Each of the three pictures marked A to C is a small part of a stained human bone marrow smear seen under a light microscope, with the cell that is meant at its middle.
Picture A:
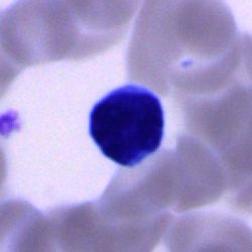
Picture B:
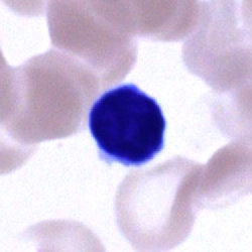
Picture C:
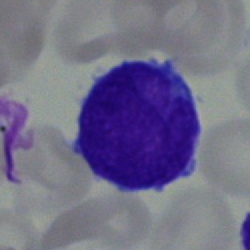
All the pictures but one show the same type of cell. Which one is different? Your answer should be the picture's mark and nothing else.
C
